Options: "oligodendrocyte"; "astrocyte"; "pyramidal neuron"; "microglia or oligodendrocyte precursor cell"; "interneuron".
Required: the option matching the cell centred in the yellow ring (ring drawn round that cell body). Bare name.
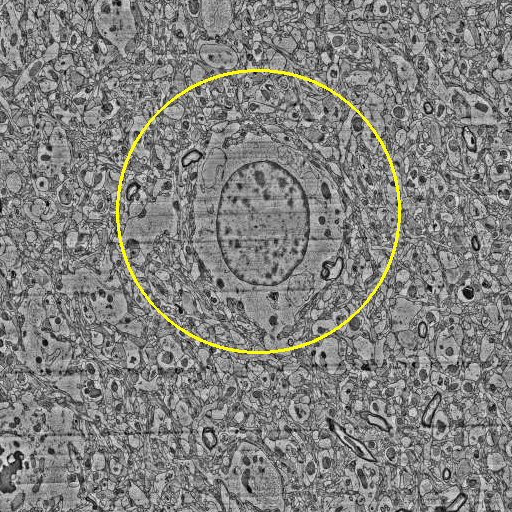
astrocyte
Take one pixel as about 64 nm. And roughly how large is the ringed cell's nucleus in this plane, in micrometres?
The ringed cell's nucleus is about 8 micrometres long and 6 micrometres wide in this plane.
